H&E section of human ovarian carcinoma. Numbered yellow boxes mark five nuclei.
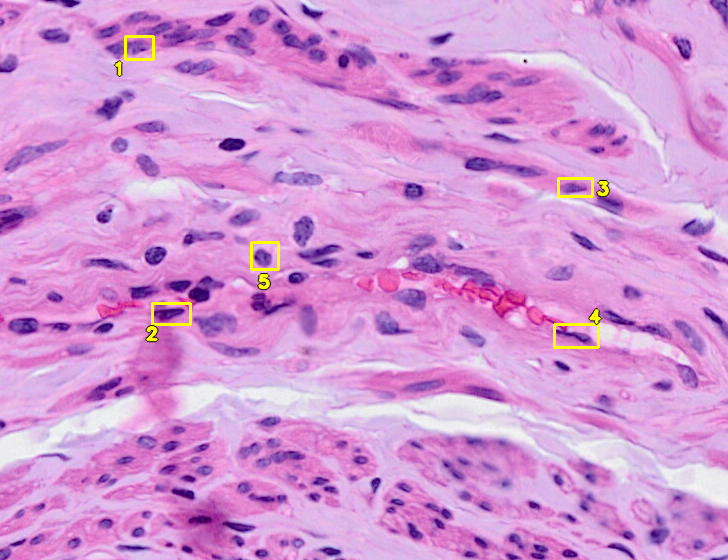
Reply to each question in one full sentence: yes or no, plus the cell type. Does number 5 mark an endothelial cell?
No, cell 5 represents a lymphocyte rather than an endothelial cell.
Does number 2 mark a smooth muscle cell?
No, at number 2 sits an endothelial cell, not a smooth muscle cell.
